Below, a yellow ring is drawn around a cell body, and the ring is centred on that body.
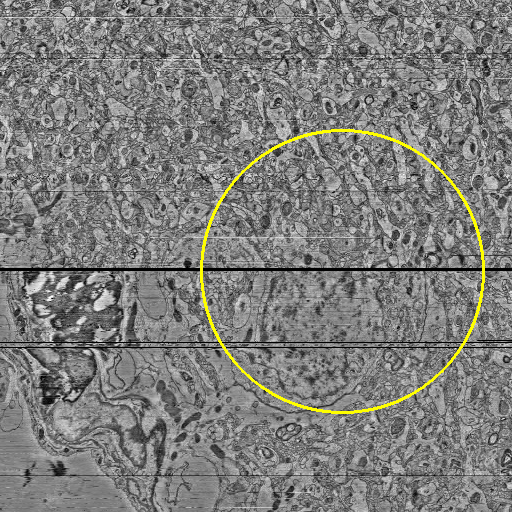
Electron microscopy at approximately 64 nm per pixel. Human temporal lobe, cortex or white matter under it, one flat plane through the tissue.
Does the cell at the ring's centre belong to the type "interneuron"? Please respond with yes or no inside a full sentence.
Yes, the centred cell inside the ring shown in the picture is of this type.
